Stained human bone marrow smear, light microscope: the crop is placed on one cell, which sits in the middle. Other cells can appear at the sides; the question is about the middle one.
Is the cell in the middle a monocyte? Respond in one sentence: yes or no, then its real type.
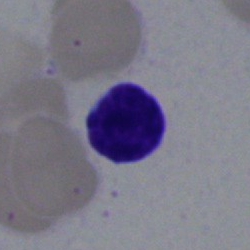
No, the cell in the middle is recognised as a lymphocyte rather than a monocyte.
